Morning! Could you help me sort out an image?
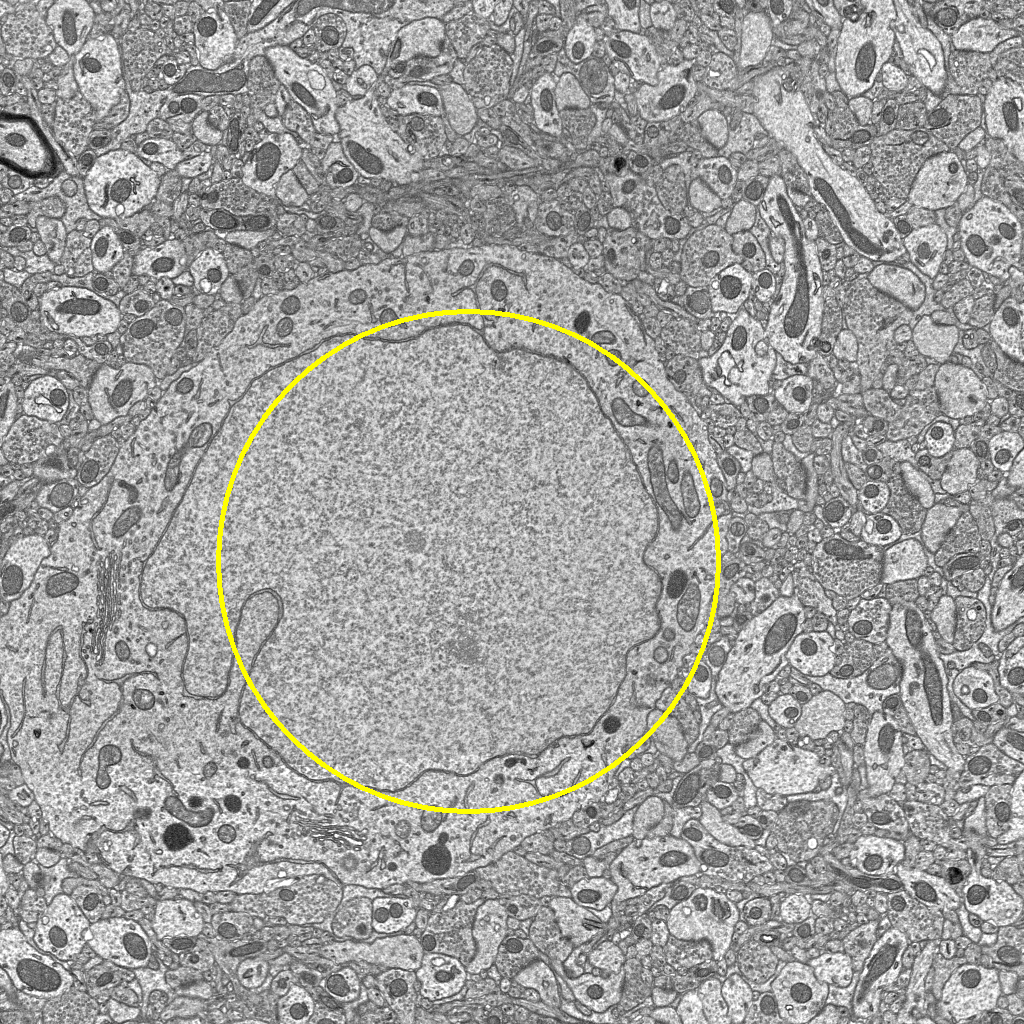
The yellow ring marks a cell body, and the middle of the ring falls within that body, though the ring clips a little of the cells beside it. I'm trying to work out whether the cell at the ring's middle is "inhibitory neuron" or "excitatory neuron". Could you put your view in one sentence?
The cell body at the ring's middle is that of an inhibitory neuron.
